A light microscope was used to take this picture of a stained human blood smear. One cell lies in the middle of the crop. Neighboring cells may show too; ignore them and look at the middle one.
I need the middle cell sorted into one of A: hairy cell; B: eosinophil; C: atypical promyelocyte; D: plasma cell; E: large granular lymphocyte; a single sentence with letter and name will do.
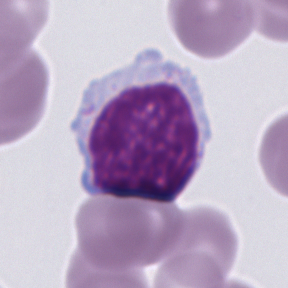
Option E is right in identifying the central cell as a large granular lymphocyte.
